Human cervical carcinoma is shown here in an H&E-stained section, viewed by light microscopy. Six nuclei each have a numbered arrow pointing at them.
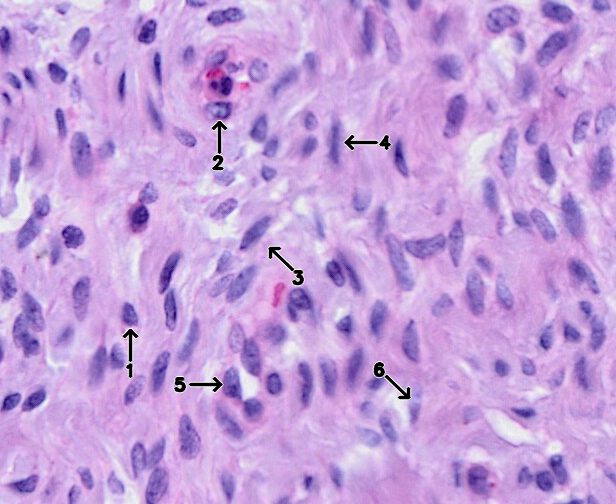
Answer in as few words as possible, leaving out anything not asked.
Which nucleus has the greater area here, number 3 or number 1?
3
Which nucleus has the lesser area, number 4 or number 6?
6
